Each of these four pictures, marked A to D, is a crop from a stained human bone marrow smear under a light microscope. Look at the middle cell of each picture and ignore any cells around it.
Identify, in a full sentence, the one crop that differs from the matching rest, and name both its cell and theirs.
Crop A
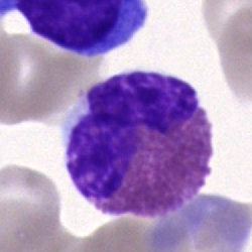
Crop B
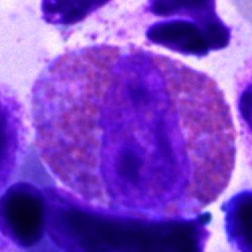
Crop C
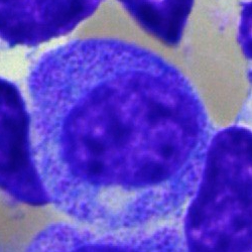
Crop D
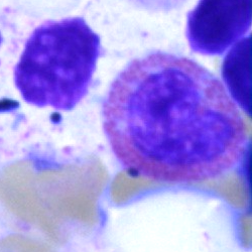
Crop C differs from the others in showing a promyelocyte; the rest all show eosinophils.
